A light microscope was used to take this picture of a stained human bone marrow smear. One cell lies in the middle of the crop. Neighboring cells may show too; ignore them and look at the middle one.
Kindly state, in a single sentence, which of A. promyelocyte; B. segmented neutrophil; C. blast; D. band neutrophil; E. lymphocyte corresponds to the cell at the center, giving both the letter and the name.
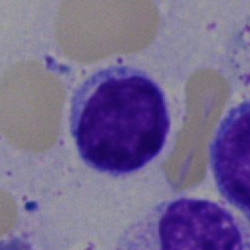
The cell in the center of this crop is a lymphocyte, so option E is the one to pick.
